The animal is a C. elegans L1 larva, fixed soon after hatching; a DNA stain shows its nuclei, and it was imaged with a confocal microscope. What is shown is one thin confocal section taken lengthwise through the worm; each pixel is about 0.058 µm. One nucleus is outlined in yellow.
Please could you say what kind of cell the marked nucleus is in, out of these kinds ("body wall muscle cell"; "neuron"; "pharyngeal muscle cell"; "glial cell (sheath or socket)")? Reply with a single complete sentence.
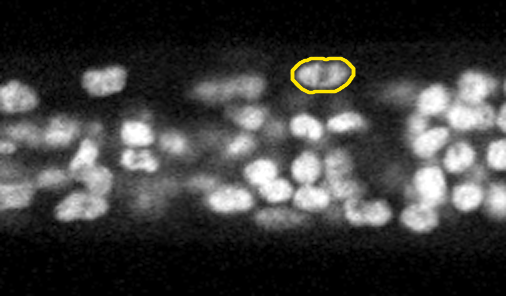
The cell with the marked nucleus is a body wall muscle cell.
